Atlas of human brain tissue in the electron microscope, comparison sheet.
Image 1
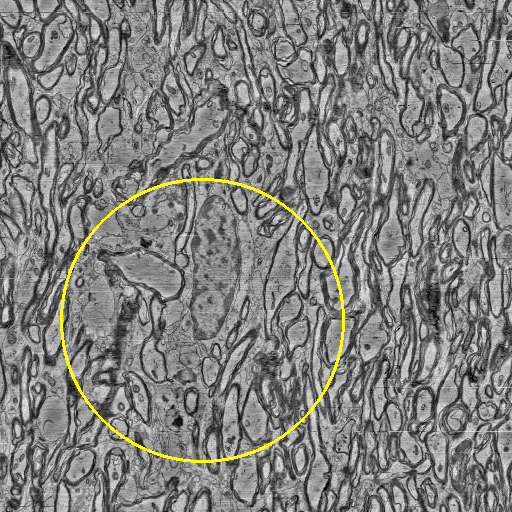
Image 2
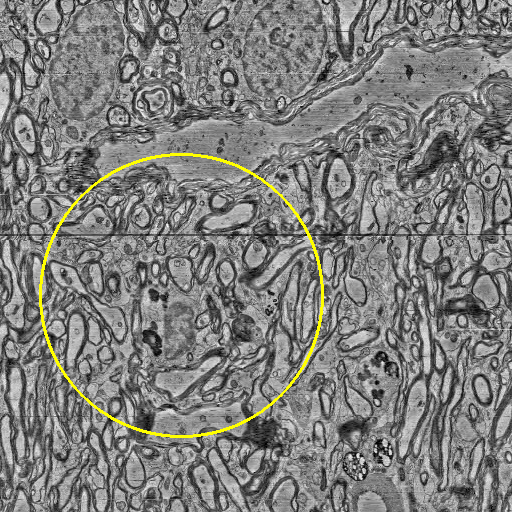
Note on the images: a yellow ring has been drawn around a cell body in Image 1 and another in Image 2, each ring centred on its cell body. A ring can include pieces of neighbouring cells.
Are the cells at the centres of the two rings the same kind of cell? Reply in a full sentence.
No, the two cells are of two kinds.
